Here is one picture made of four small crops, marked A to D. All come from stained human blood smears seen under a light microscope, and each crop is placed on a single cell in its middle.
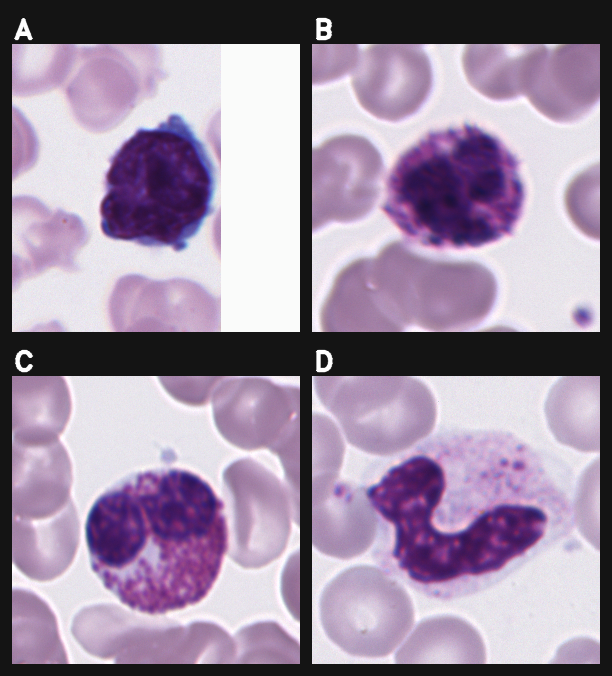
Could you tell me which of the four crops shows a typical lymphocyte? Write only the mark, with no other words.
A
